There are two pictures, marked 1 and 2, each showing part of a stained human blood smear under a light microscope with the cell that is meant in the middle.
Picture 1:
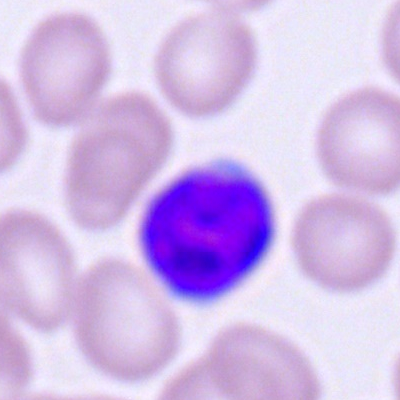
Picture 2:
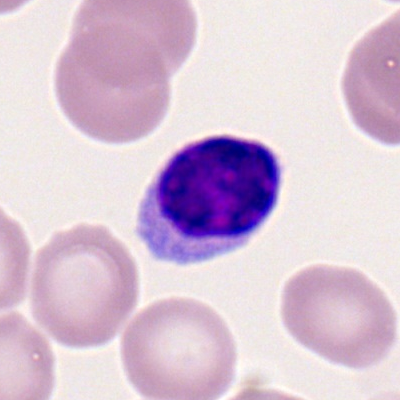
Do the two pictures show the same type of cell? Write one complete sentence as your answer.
Yes, both are lymphocytes.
